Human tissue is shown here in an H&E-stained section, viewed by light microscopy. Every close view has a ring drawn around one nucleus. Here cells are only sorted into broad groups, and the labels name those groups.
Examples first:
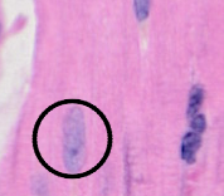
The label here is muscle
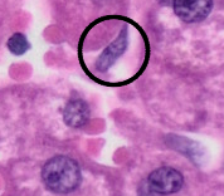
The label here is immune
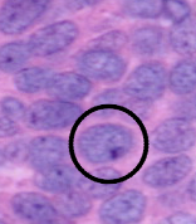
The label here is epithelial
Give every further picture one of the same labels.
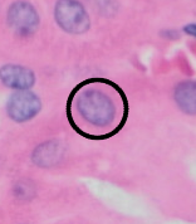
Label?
epithelial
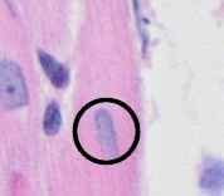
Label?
muscle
